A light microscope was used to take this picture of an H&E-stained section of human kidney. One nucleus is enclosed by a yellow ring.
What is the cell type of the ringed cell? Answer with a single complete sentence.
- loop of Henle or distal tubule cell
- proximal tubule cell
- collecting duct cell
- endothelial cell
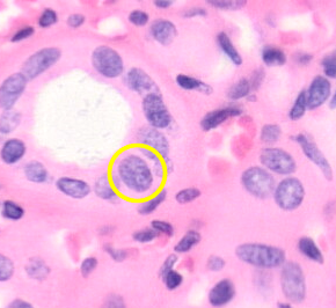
The cell meant here is a collecting duct cell.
